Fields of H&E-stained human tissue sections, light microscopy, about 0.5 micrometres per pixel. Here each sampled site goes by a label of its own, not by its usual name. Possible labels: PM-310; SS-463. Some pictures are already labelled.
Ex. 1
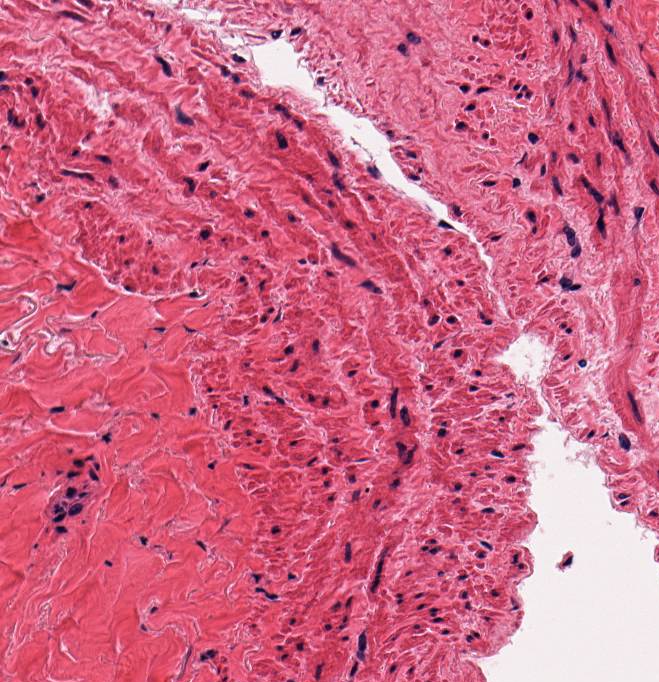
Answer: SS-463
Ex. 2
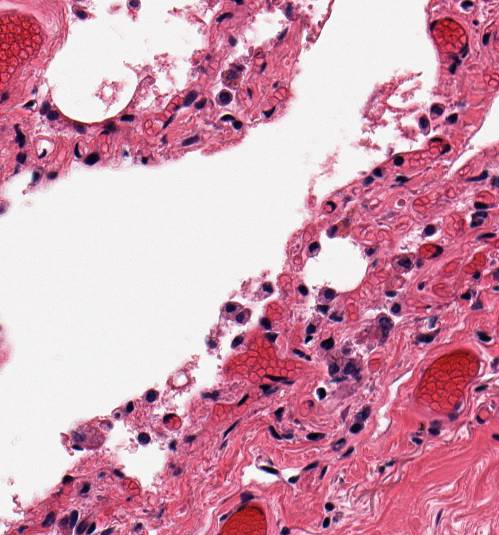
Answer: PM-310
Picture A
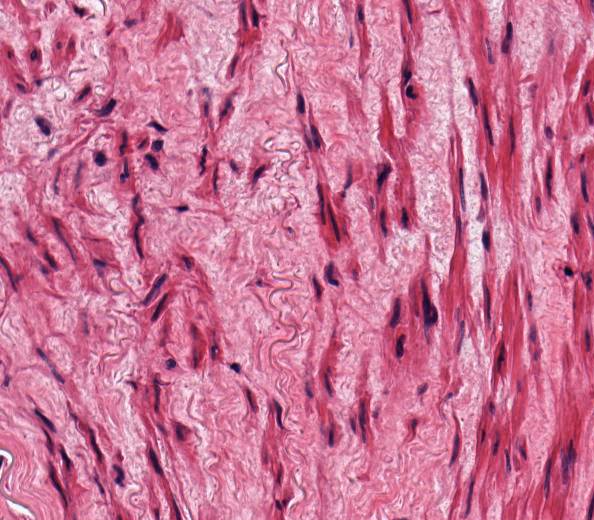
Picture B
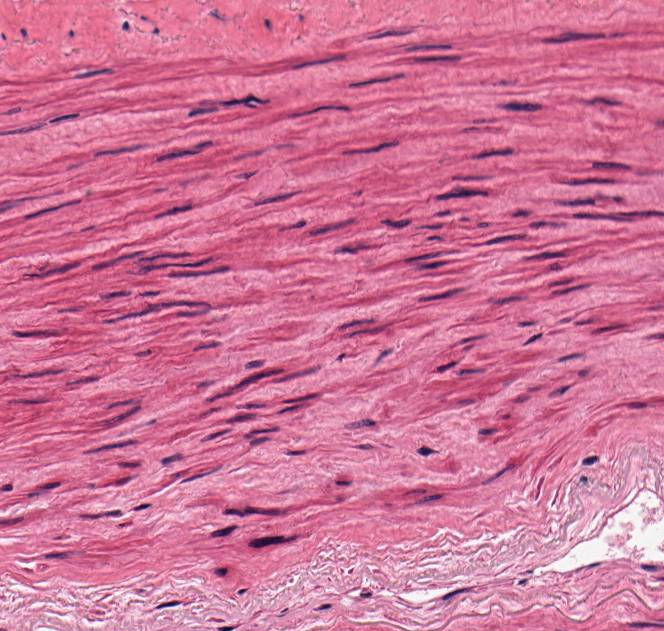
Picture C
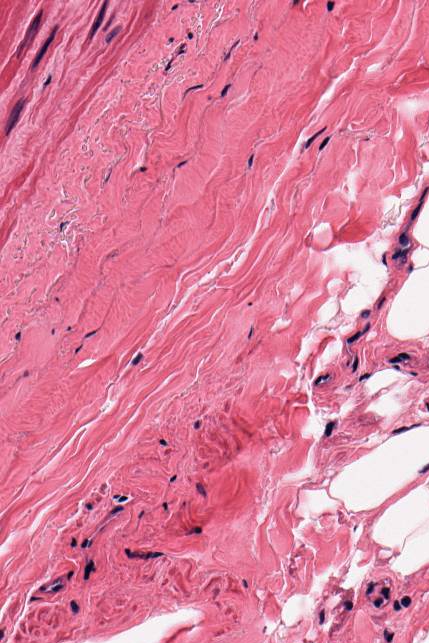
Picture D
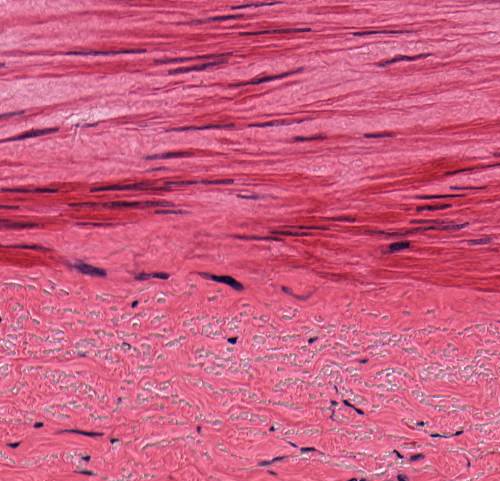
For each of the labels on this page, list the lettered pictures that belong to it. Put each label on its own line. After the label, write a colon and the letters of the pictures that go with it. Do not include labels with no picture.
SS-463: A, B, C, D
